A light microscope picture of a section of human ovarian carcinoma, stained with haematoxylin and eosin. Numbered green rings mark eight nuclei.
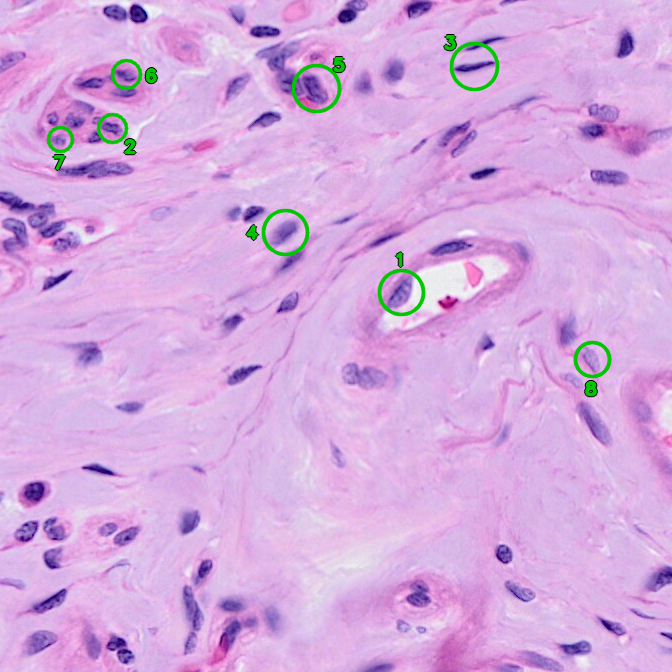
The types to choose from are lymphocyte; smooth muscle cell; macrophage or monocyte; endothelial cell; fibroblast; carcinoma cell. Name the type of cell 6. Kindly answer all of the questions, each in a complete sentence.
Cell 6 in the field of view is a smooth muscle cell.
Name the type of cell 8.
The correct label for cell 8 is a smooth muscle cell.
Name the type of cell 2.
The cell indicated by marker 2 is a smooth muscle cell in this section.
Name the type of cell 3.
Numbered cell 3 is a fibroblast in this tissue section.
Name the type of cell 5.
Number 5 is placed on an endothelial cell here.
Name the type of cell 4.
Corresponding to a fibroblast is the cell labelled 4.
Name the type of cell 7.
Regarding cell 7, this one is a smooth muscle cell.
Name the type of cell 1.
The cell numbered 1 has been identified as an endothelial cell.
